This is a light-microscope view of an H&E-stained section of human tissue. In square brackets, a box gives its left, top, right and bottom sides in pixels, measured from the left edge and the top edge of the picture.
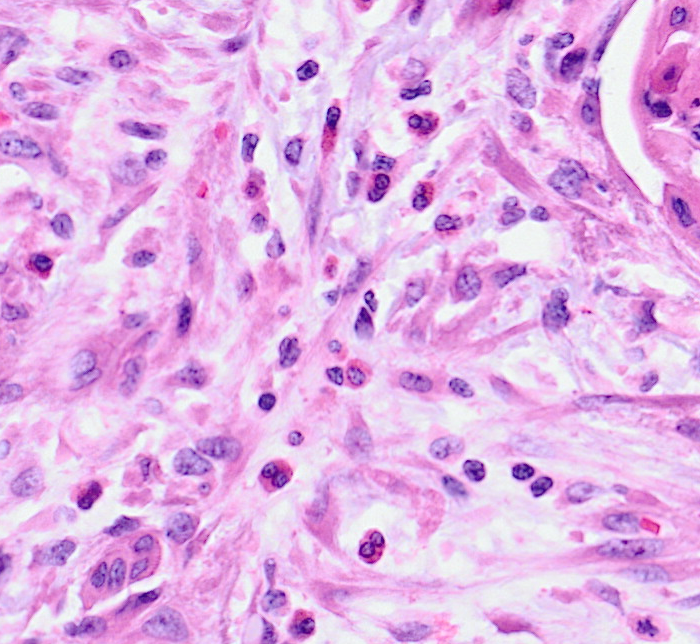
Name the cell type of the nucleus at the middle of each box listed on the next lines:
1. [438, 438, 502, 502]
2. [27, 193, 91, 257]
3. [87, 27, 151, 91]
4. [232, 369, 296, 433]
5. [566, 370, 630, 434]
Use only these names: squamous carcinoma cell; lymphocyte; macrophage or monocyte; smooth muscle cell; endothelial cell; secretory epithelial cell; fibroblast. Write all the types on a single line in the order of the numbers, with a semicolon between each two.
lymphocyte; macrophage or monocyte; macrophage or monocyte; lymphocyte; fibroblast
